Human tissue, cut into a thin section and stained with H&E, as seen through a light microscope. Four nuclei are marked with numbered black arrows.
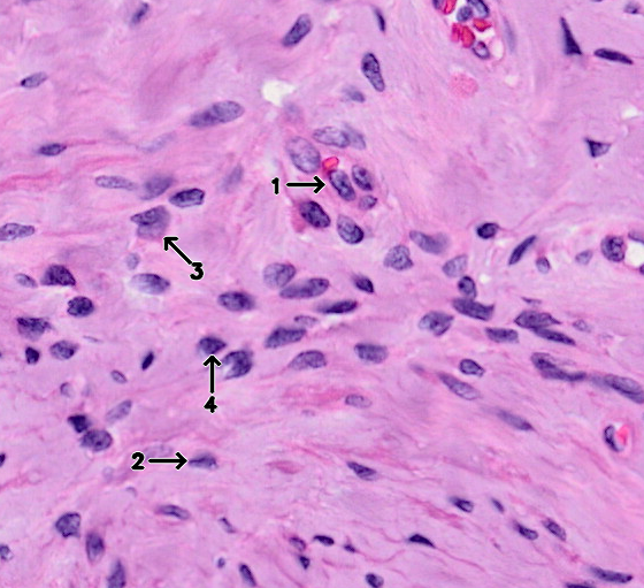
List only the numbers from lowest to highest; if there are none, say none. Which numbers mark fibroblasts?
2, 3, 4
